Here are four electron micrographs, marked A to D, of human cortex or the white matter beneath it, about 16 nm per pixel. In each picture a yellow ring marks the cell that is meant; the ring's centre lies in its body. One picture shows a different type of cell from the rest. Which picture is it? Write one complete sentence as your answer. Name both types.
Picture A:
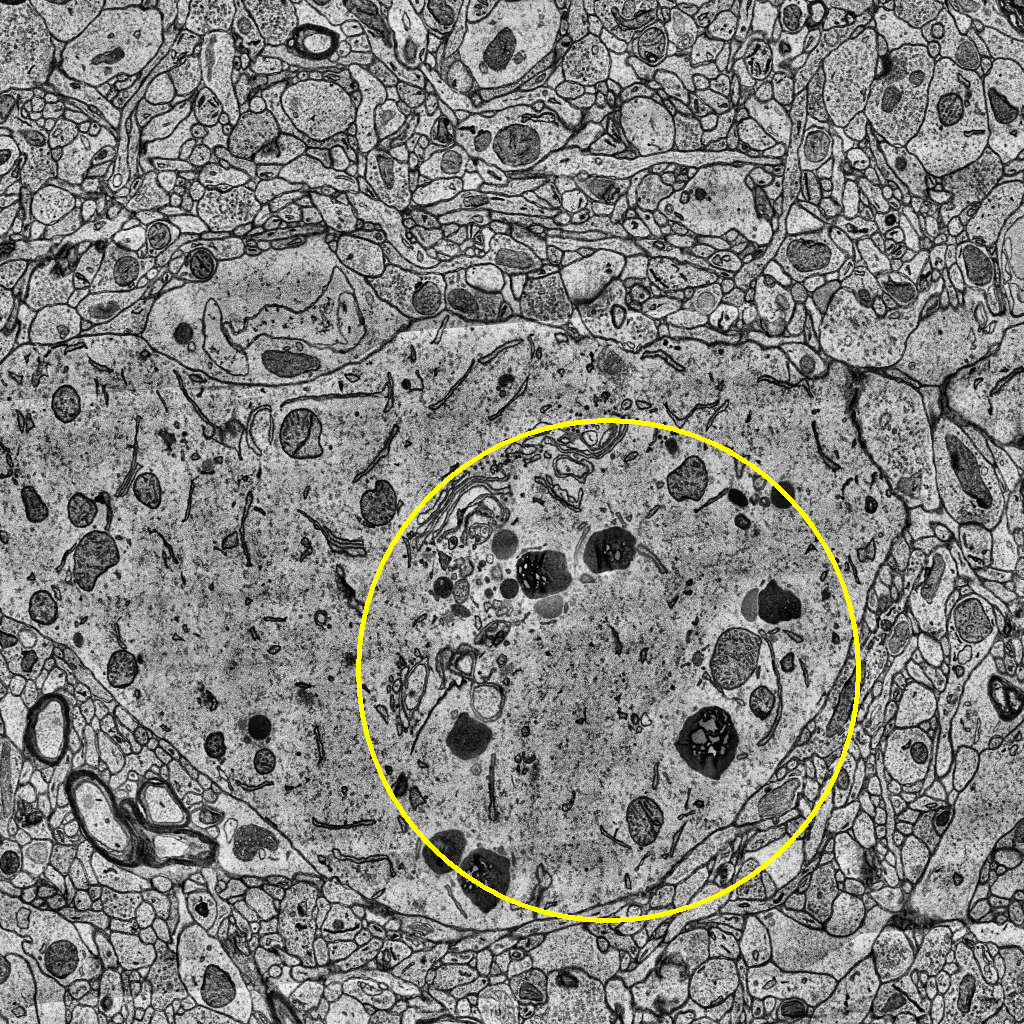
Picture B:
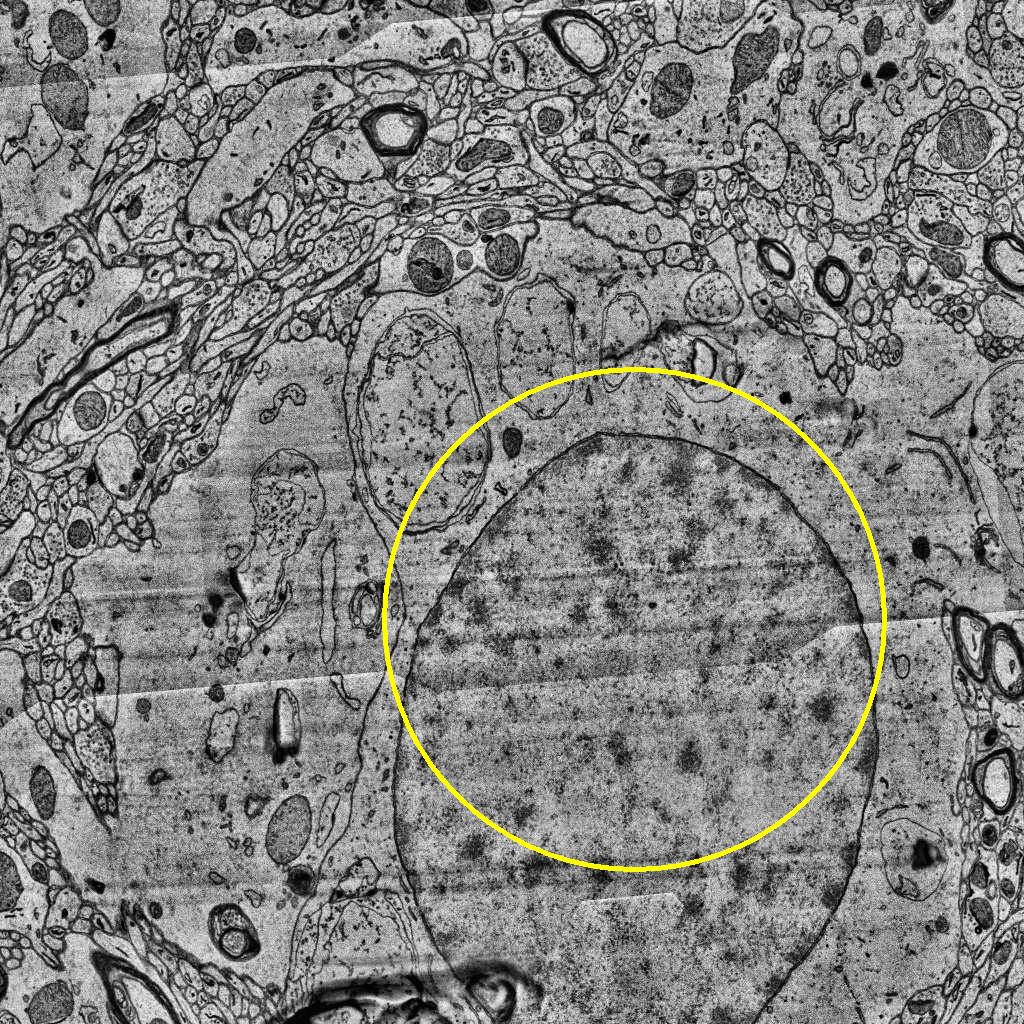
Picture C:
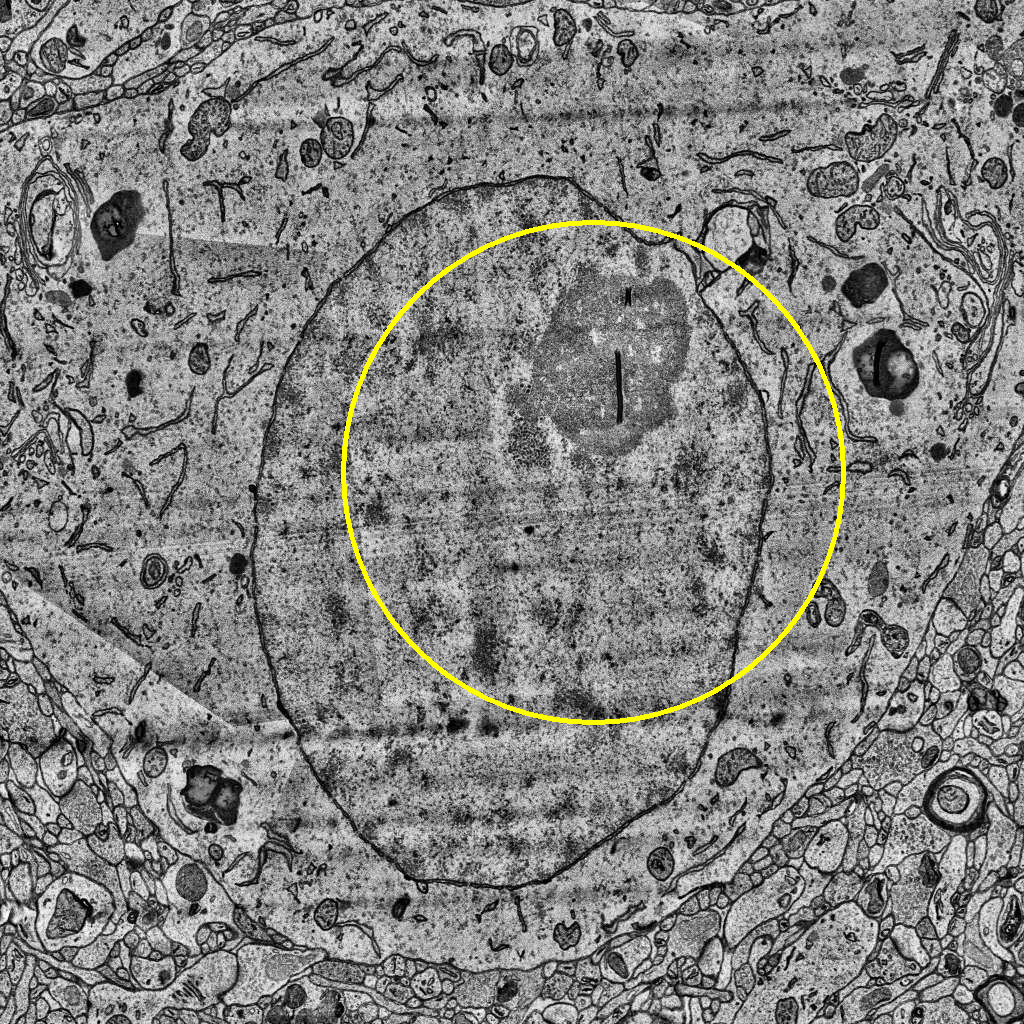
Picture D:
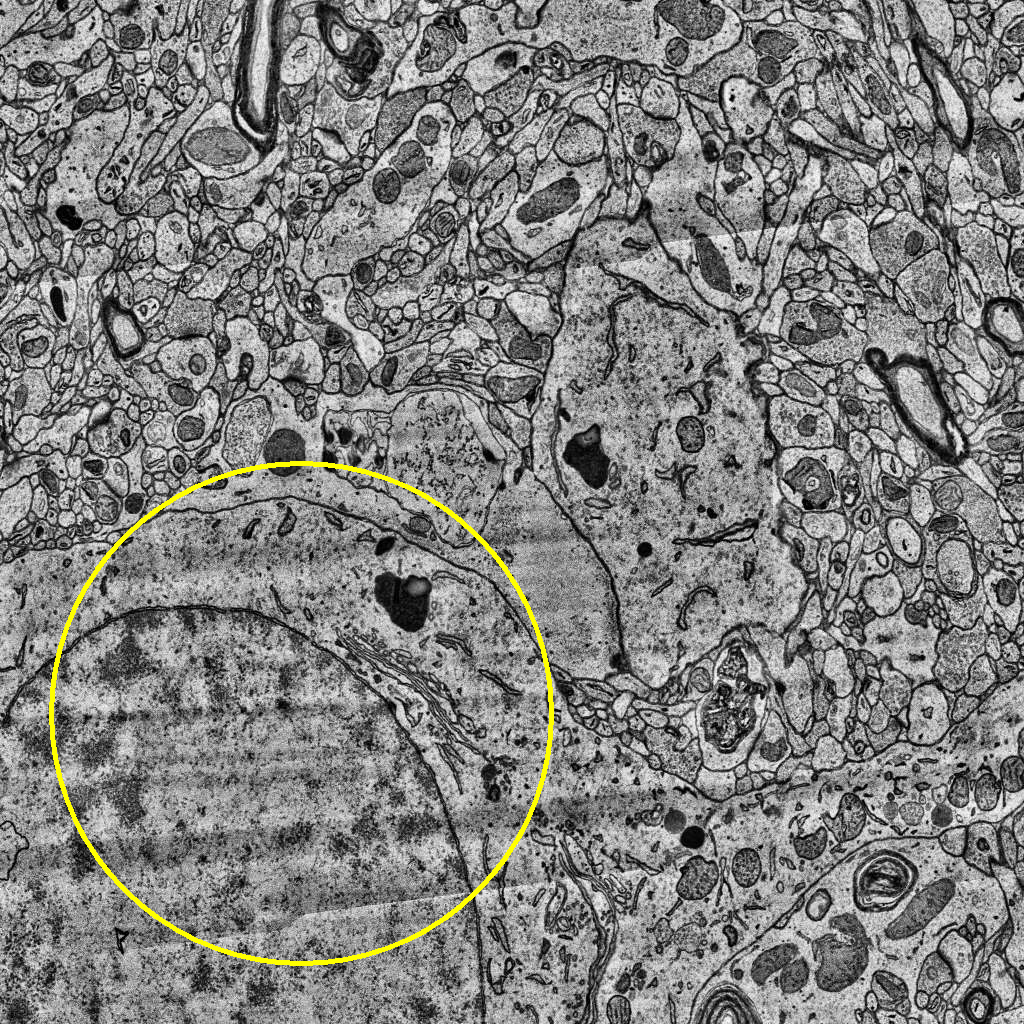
The different one is picture B; it shows an astrocyte, whereas all the others show pyramidal neurons.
